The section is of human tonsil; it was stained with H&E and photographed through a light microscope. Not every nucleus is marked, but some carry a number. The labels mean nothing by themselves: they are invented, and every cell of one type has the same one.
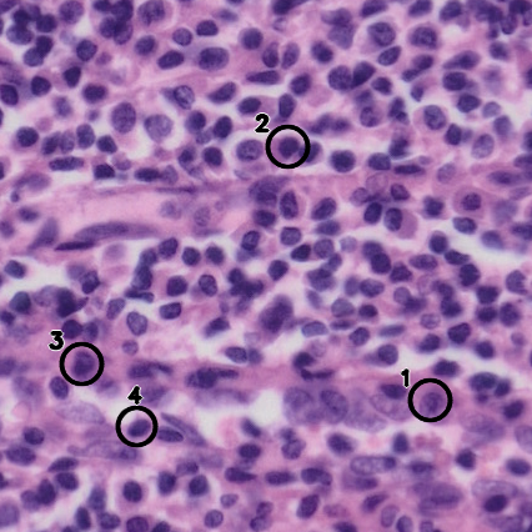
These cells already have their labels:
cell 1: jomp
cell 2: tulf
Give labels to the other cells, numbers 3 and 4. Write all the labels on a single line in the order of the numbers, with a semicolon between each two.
jomp; jomp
